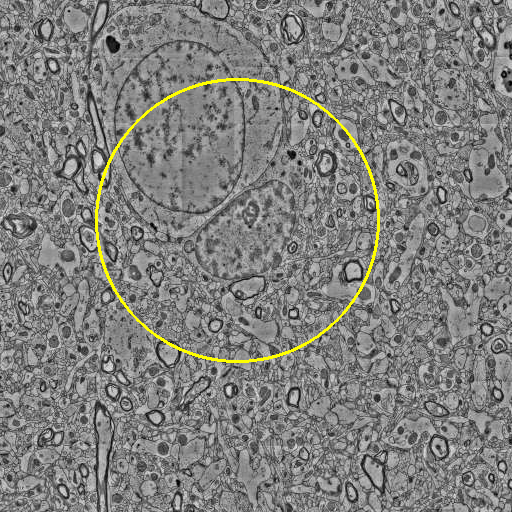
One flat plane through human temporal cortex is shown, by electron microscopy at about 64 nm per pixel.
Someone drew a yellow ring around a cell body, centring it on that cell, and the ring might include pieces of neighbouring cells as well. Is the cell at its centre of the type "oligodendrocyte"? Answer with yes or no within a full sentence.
Yes, within the picture, the cell the ring is centred on qualifies as that type.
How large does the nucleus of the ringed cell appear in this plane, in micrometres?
In this plane, about 7 micrometres in length and 5 in width.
